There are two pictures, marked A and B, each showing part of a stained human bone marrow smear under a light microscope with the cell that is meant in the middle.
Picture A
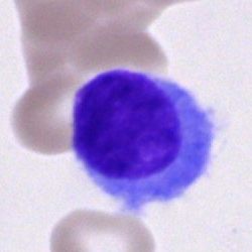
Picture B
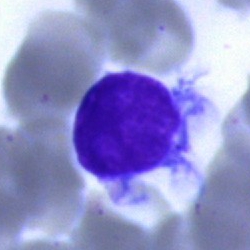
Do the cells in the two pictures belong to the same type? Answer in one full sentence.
Yes, both cells are hairy cells.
